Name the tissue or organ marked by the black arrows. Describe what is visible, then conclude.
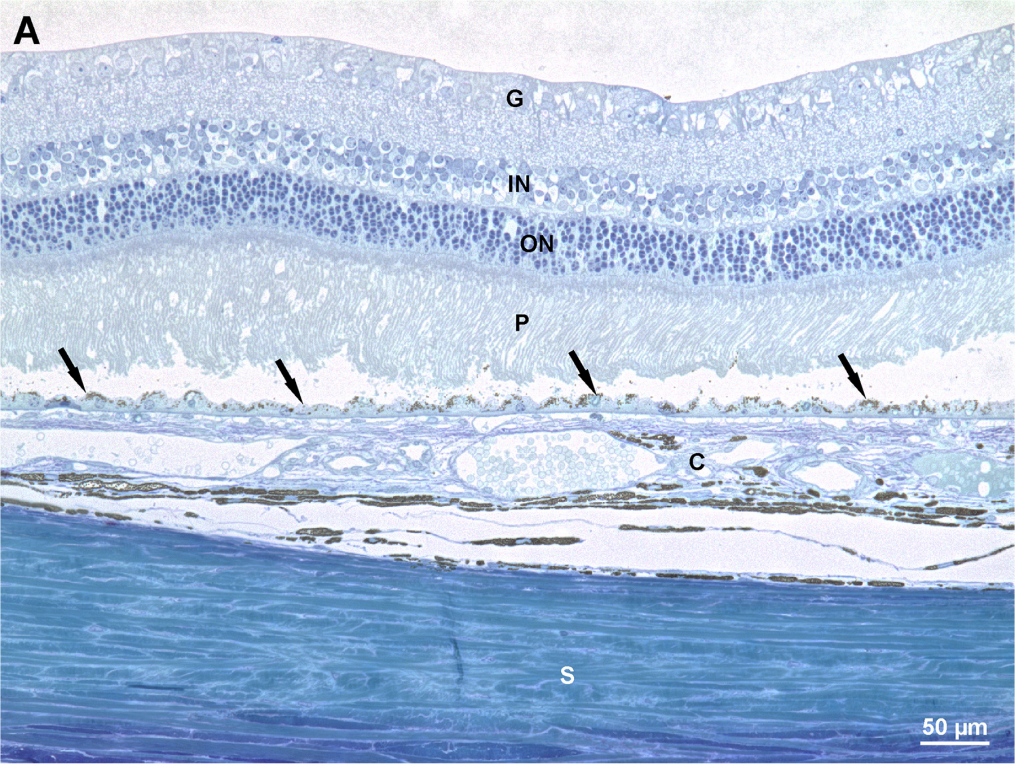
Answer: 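The arrows point to a thin single cell layer with brown-black pigment granules. This layer lies just outside the tips of the long pale outer segments. Beneath it lies a loose vascular layer with large vessels and pigmented cells.
Hence: retinal pigment epithelium.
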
